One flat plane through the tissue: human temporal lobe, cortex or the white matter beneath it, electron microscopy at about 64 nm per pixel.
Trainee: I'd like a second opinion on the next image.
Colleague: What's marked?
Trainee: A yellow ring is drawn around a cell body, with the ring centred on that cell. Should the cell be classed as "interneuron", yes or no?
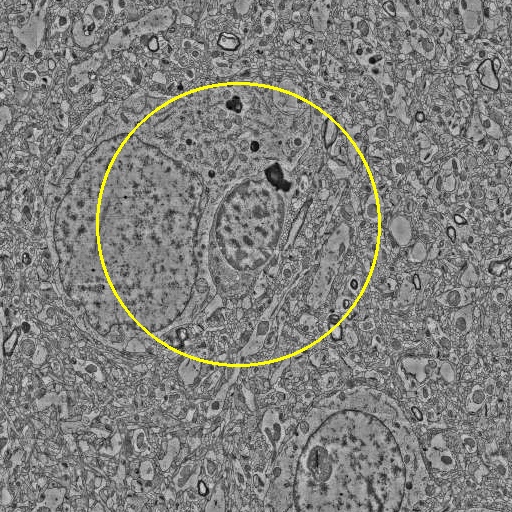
No, it should be classed as another kind.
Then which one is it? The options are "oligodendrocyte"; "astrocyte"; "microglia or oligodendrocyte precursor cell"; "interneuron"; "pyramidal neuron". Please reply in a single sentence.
The ring holds an oligodendrocyte at its centre.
